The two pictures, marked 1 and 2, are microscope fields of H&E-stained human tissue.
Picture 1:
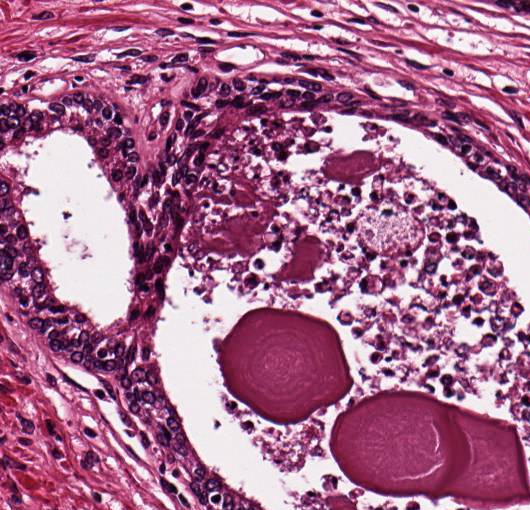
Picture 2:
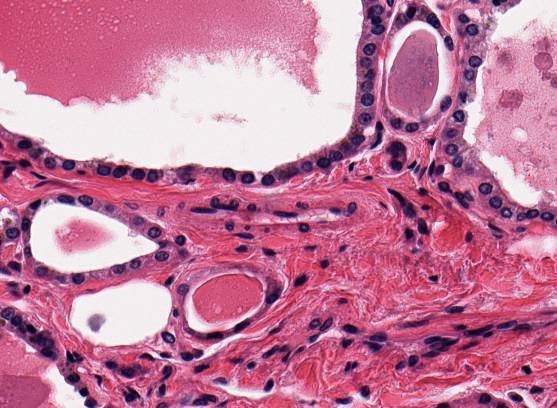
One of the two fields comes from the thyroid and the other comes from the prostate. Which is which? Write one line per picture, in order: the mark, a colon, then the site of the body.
1: prostate
2: thyroid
